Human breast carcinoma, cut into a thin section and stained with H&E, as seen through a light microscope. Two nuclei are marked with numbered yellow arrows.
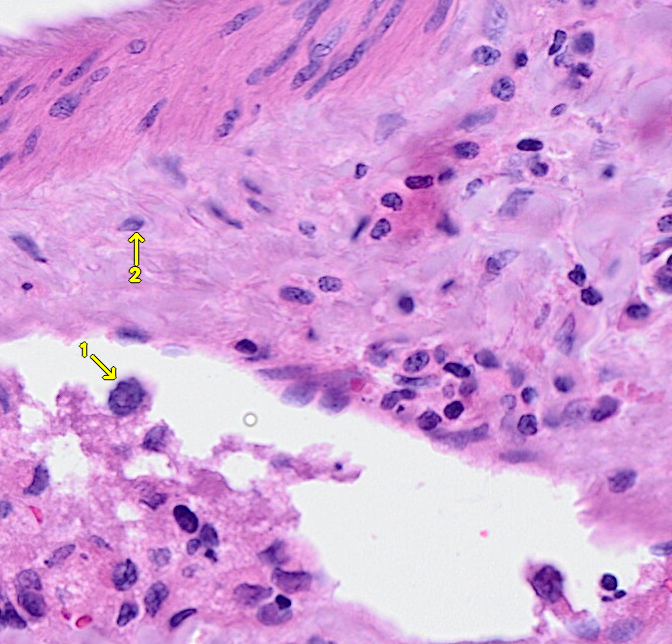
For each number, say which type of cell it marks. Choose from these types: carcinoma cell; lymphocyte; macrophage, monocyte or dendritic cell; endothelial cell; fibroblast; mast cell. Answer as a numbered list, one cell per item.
1. carcinoma cell
2. fibroblast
